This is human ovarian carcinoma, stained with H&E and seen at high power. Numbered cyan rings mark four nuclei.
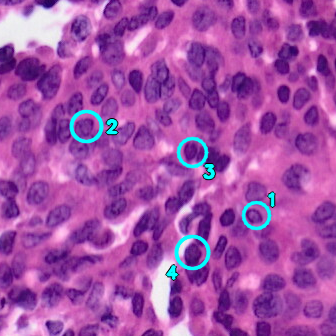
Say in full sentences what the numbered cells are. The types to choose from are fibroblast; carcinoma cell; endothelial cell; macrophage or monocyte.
Cell 1 is a macrophage or monocyte, cell 2 is a carcinoma cell, cell 3 is a carcinoma cell and cell 4 is a carcinoma cell.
